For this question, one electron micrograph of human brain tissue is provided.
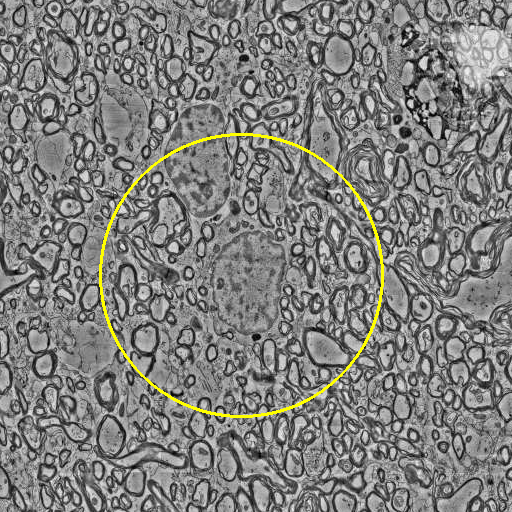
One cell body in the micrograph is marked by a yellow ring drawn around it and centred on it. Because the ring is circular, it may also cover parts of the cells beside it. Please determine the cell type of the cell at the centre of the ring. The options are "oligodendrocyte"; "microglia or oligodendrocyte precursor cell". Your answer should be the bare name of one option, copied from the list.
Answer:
oligodendrocyte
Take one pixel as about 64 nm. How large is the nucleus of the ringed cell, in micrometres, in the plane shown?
The nucleus has a long axis of about 7 micrometres and a short axis of about 5 micrometres in this plane.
